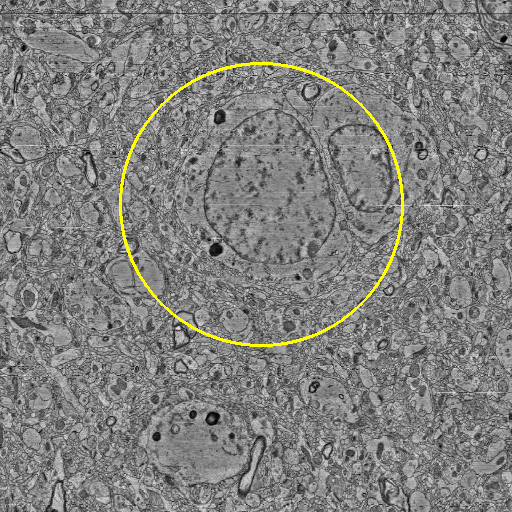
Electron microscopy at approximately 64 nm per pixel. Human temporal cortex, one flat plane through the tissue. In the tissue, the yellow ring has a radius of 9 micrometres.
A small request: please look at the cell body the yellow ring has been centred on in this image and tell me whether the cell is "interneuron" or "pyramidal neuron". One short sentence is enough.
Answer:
The cell marked by the ring is a pyramidal neuron.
